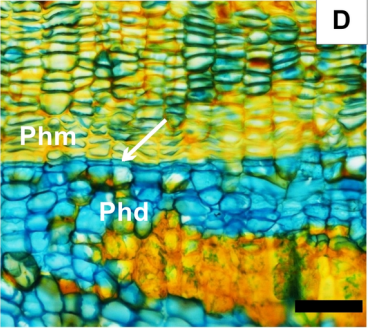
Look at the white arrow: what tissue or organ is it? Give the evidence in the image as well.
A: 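Phellogen. The arrow points to a thin layer of flattened cells lying between the yellow-orange outer cell layers and the blue inner cell layers. The outer cells lie in regular radial rows.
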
